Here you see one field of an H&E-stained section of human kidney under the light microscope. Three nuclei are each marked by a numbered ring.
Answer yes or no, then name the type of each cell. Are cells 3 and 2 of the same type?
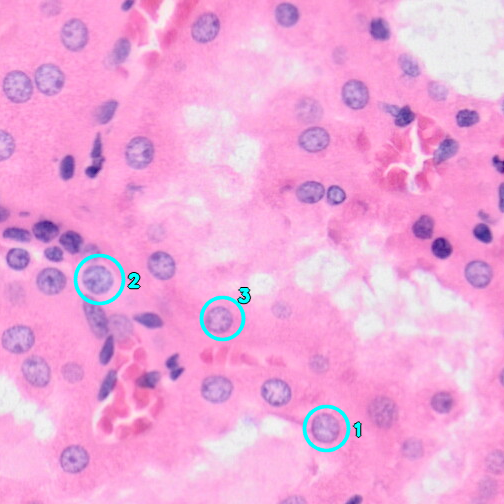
No; cell 3 is a proximal tubule cell, whereas cell 2 is a collecting duct cell.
